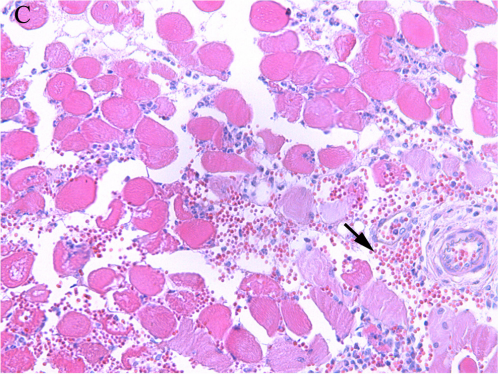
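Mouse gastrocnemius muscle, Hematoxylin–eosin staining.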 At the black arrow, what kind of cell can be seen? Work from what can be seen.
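The arrow points to a dense cluster of small, round, red bodies without nuclei. They fill the spaces between separated muscle fibres near a vessel. On this evidence: erythrocytes.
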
